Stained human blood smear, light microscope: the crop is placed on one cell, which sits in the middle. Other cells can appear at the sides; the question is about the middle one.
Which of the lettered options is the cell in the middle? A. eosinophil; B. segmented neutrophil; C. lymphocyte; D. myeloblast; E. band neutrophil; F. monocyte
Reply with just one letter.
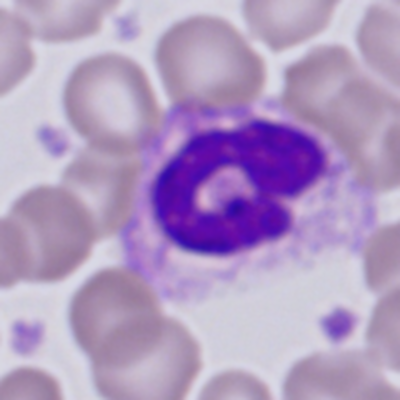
E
